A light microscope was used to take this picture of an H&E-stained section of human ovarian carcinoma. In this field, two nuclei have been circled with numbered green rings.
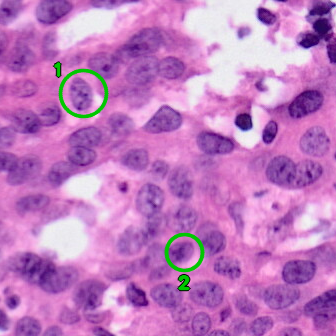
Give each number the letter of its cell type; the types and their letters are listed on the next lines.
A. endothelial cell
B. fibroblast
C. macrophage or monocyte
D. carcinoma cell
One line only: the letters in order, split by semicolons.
C; D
